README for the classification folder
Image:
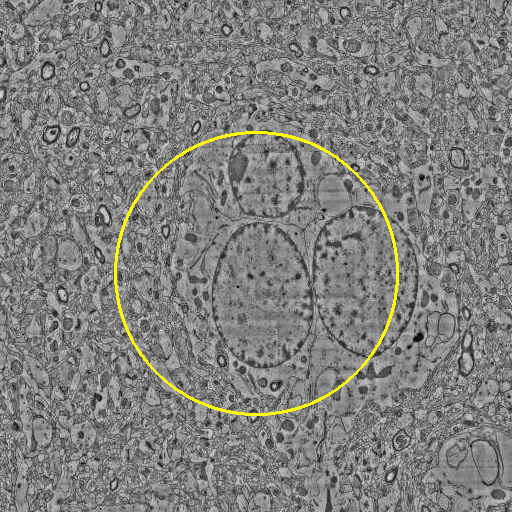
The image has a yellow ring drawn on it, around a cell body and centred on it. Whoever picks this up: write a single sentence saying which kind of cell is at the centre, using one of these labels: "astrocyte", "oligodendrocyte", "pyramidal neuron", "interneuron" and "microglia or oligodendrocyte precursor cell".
This cell body is that of an astrocyte.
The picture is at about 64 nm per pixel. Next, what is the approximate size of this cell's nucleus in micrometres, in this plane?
In this plane, approximately 9 by 6 micrometers.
